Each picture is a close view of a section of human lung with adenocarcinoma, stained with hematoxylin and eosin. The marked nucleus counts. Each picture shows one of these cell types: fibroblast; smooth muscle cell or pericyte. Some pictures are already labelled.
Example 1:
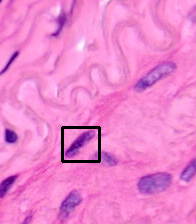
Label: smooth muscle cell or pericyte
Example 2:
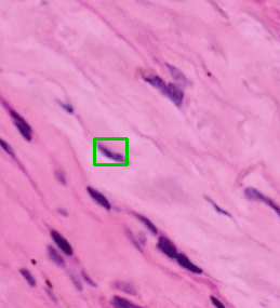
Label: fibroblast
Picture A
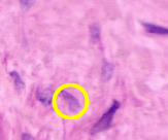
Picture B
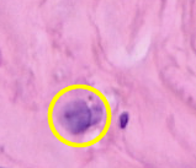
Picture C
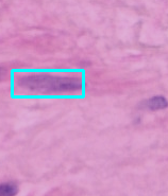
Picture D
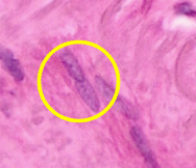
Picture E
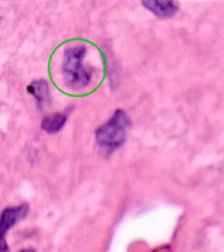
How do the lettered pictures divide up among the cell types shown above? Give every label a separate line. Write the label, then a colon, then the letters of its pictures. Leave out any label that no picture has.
fibroblast: B, E
smooth muscle cell or pericyte: A, C, D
